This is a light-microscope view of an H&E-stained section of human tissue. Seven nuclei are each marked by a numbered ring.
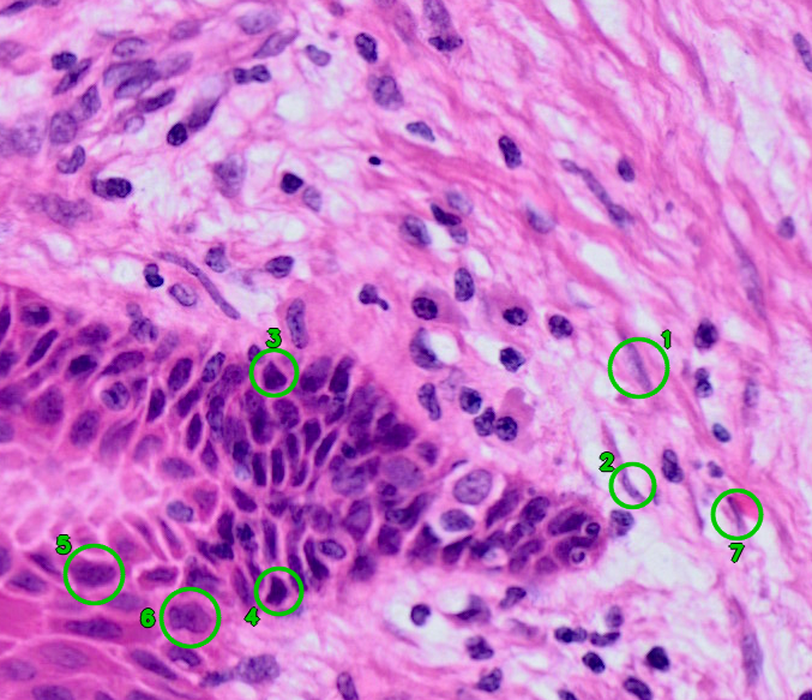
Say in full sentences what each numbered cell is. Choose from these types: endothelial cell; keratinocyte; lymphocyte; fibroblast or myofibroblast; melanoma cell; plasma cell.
Cells 1, 2 and 7 are fibroblasts or myofibroblasts. Cells 3, 4, 5 and 6 are keratinocytes.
